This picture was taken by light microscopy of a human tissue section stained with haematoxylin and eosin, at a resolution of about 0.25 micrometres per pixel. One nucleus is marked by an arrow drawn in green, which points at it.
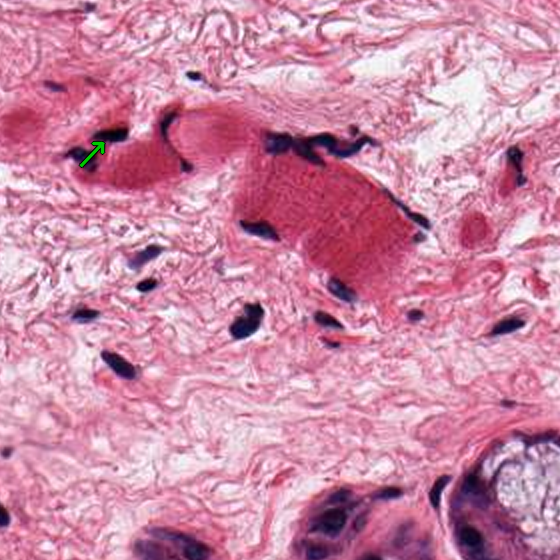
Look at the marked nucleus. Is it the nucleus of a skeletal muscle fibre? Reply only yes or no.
yes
